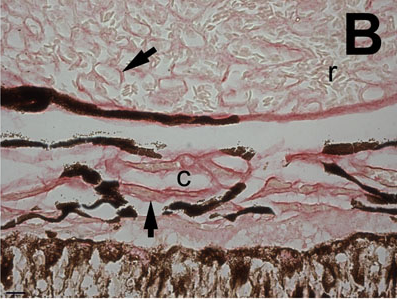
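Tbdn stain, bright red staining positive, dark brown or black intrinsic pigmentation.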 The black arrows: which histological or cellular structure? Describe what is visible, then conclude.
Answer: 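The arrows point at thin red-outlined linings around vascular spaces. The lined spaces form a meshwork of small channels in the upper region and larger channels between pigmented bands. So: choroidal and rete blood vessel endothelia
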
